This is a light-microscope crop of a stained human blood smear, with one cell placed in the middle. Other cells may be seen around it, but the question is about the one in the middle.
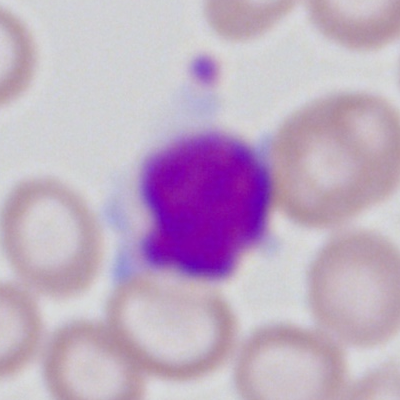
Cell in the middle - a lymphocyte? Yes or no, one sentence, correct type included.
Yes, the central element of the crop is a lymphocyte.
